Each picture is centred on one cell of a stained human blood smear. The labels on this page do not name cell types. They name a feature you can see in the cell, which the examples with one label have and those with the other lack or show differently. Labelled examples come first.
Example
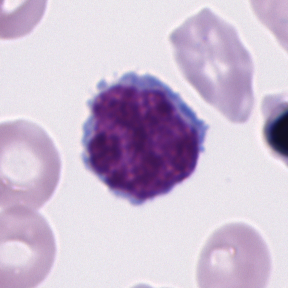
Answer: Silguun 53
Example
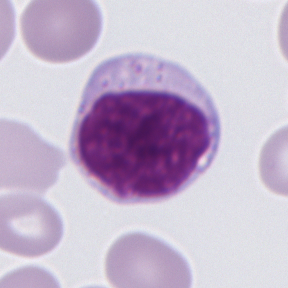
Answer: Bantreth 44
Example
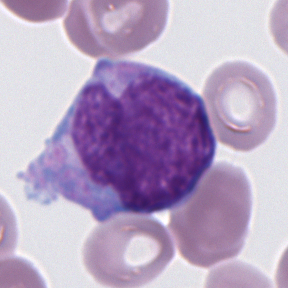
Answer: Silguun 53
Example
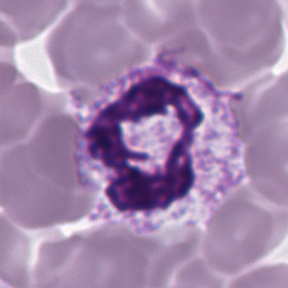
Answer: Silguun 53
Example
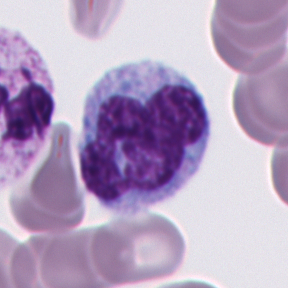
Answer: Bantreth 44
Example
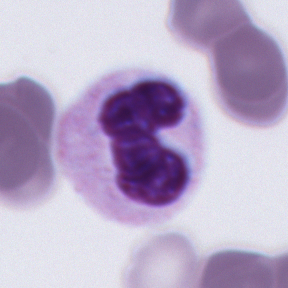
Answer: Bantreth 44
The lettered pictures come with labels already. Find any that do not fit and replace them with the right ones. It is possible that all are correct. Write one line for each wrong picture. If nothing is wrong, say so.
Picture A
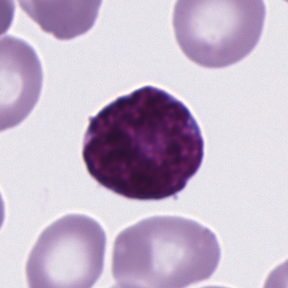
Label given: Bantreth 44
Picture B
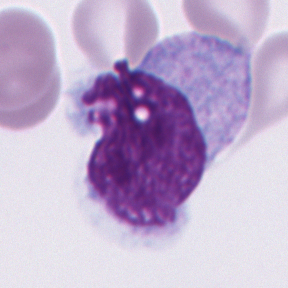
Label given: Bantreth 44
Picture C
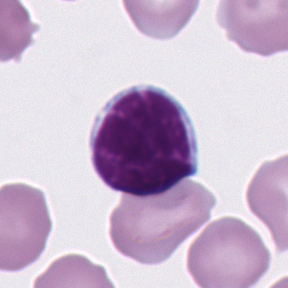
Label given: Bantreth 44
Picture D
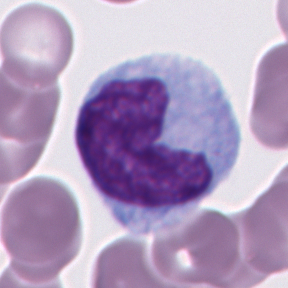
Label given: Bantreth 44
Wrong: A (Bantreth 44); correct: Silguun 53
Wrong: B (Bantreth 44); correct: Silguun 53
